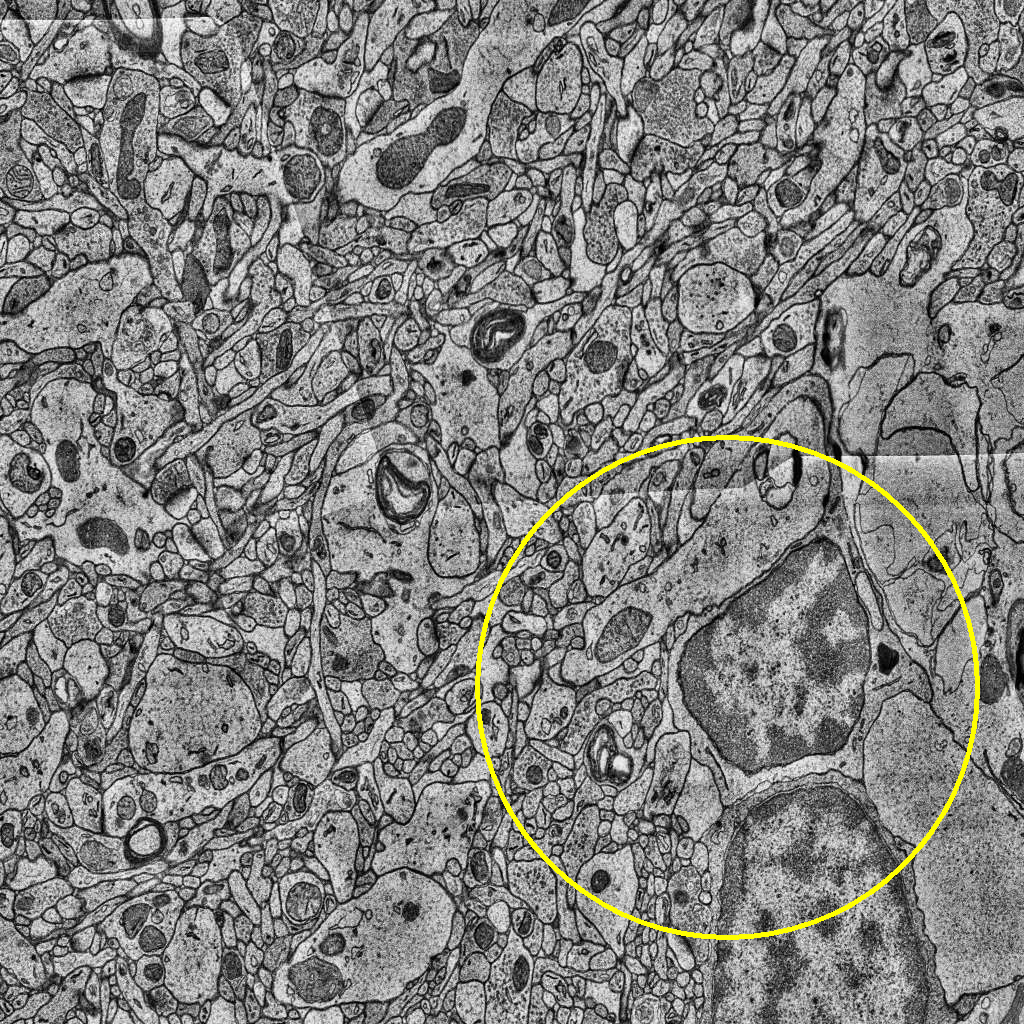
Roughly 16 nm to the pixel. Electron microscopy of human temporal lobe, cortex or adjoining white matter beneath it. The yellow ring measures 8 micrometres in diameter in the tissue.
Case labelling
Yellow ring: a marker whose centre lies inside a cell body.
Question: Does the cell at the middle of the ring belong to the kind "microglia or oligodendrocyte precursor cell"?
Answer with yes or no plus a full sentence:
Yes, in this picture the cell at the middle of the yellow ring belongs to that kind.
